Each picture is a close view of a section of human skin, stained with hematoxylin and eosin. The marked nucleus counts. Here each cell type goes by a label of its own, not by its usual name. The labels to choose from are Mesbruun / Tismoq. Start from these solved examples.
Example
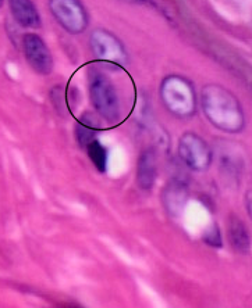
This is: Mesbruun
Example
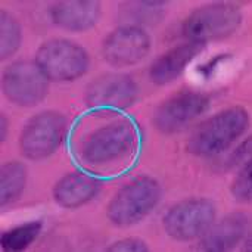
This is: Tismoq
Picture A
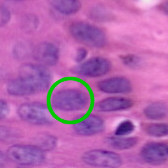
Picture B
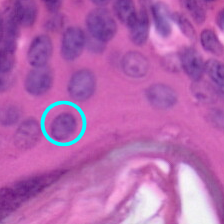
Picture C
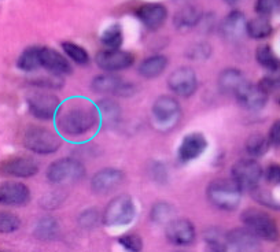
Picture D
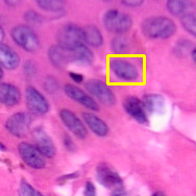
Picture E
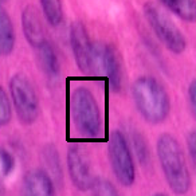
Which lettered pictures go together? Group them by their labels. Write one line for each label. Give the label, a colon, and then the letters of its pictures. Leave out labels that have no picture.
Mesbruun: A, C, D
Tismoq: B, E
